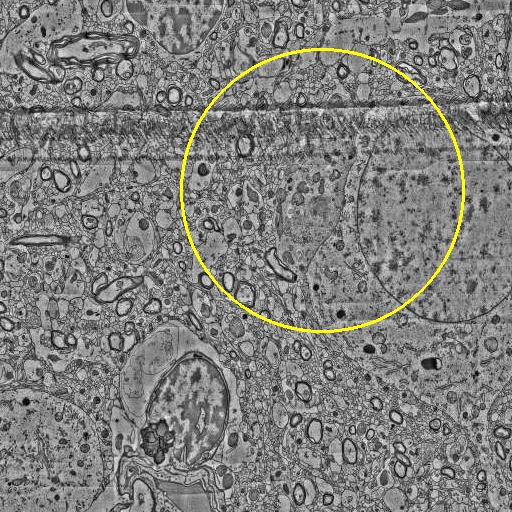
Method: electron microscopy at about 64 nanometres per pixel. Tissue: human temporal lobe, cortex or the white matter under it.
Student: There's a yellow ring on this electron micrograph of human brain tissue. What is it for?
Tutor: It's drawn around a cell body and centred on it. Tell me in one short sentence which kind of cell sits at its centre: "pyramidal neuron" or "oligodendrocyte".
The cell at the centre of the ring is an oligodendrocyte.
